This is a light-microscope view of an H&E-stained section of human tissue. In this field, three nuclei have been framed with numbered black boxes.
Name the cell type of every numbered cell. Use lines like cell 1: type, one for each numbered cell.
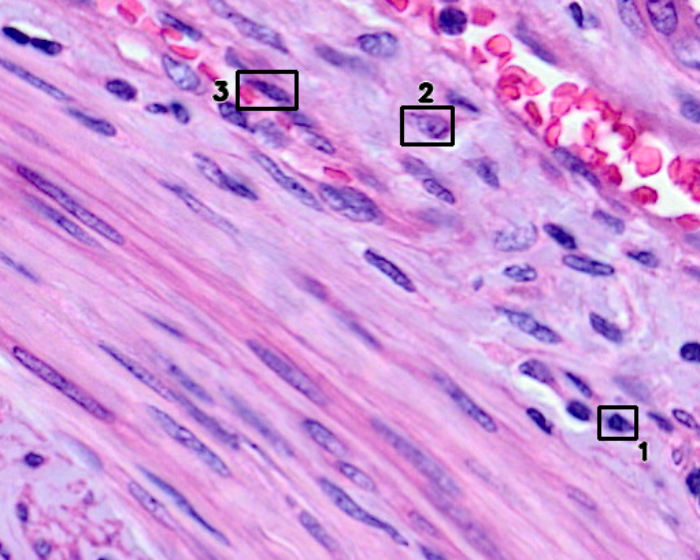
cell 1: lymphocyte
cell 2: macrophage or monocyte
cell 3: endothelial cell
